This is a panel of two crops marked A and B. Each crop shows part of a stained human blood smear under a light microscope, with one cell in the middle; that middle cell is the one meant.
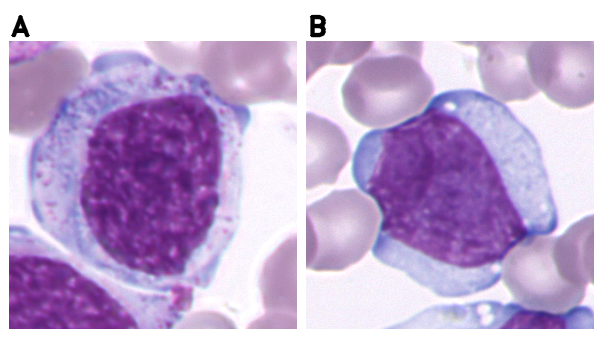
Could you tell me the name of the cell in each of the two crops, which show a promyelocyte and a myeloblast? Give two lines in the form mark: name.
A: promyelocyte
B: myeloblast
